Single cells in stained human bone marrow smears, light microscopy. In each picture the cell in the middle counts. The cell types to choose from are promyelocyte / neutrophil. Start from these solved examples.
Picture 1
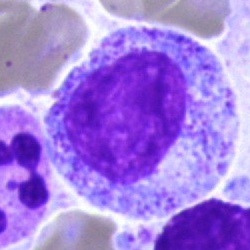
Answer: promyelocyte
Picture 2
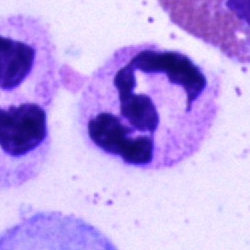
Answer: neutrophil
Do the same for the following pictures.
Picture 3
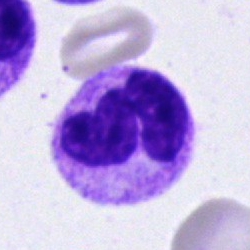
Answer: neutrophil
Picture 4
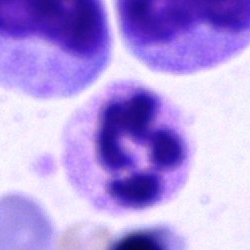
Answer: neutrophil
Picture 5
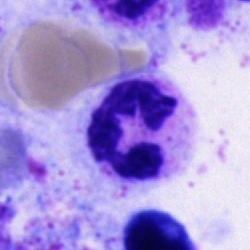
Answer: neutrophil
